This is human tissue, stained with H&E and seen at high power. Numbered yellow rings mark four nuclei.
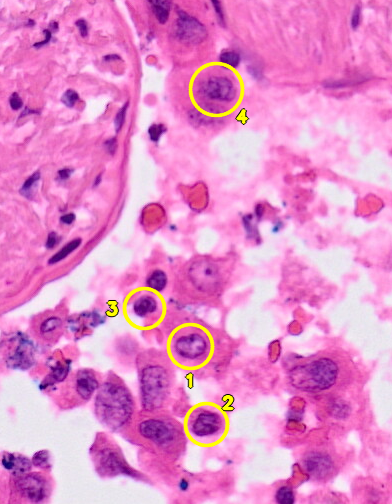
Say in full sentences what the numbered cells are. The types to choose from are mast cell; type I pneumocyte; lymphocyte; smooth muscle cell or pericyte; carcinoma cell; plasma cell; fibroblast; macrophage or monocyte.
Cells 1 and 2 are macrophages or monocytes. Cell 3 is a lymphocyte. Cell 4 is a carcinoma cell.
